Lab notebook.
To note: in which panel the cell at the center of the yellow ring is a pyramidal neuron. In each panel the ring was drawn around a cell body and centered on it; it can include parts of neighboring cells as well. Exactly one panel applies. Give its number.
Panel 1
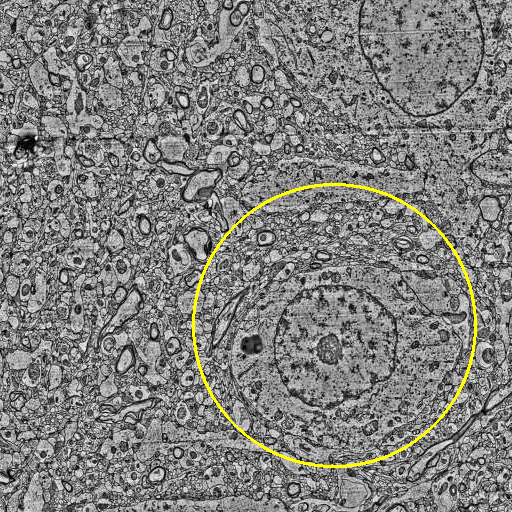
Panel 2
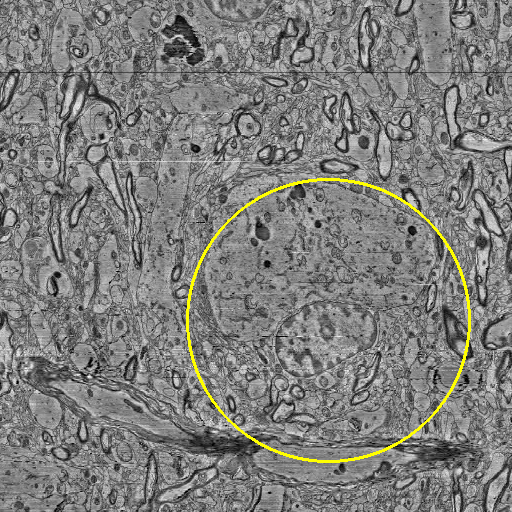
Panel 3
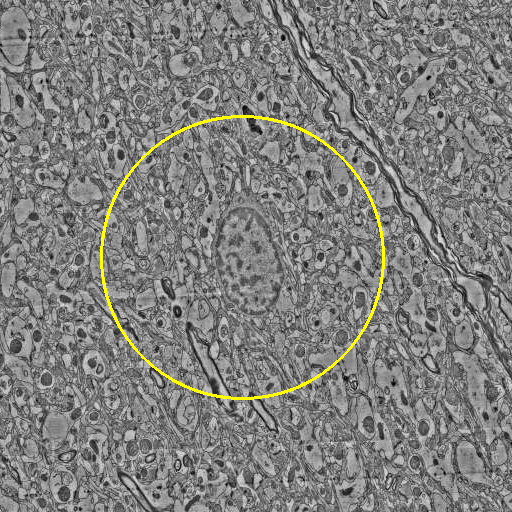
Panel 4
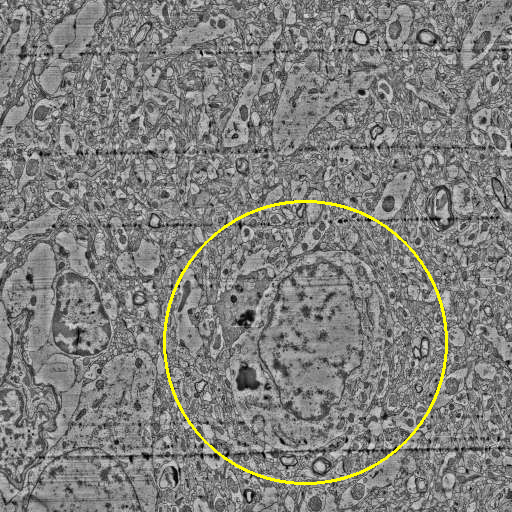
1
